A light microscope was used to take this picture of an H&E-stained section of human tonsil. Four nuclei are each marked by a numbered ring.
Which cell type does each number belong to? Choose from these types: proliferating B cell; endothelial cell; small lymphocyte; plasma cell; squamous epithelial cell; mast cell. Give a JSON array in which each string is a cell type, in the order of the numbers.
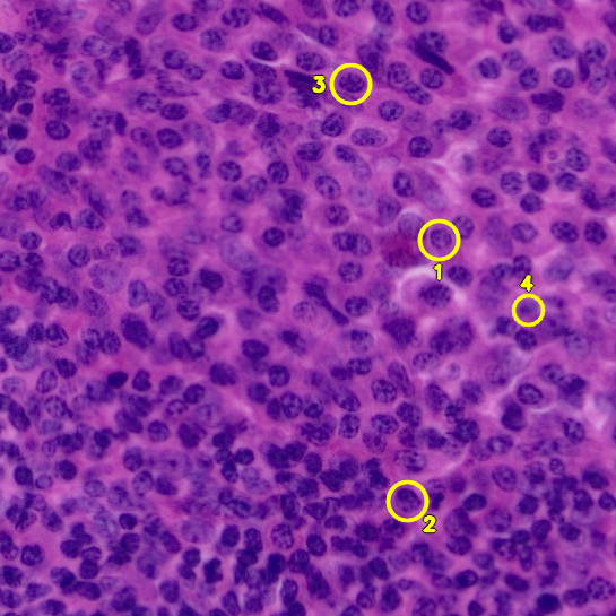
["plasma cell", "plasma cell", "plasma cell", "squamous epithelial cell"]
